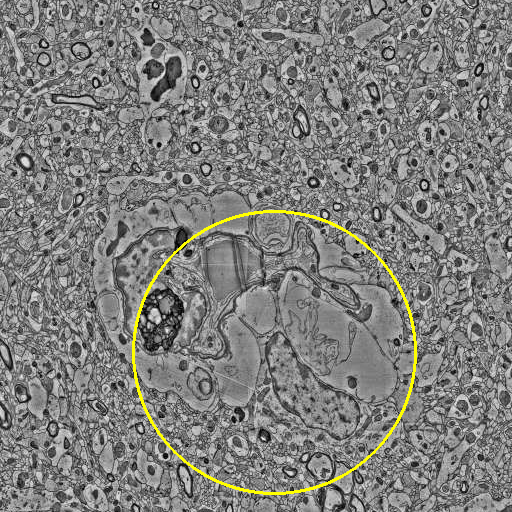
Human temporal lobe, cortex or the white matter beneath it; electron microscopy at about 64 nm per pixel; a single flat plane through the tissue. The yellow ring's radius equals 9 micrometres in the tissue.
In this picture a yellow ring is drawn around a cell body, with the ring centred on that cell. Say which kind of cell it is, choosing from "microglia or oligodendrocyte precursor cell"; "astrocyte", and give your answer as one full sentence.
Here it is a microglial cell or oligodendrocyte precursor cell that sits at the centre of the drawn yellow ring.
